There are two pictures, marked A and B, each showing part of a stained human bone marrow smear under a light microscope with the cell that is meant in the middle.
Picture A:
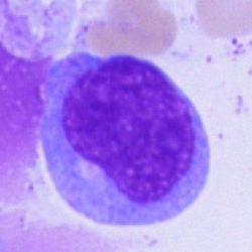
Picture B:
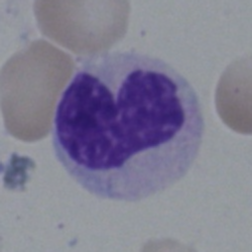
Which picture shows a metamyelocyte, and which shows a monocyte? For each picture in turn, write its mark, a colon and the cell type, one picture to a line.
A: monocyte
B: metamyelocyte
